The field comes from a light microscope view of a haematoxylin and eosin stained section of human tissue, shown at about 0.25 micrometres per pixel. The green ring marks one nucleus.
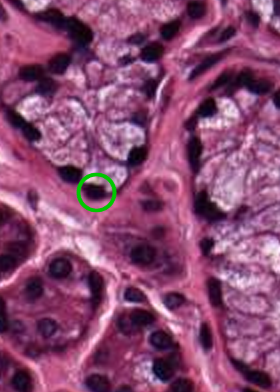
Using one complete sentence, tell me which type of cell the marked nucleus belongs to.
Here the marked nucleus belongs to a mucous gland cell.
